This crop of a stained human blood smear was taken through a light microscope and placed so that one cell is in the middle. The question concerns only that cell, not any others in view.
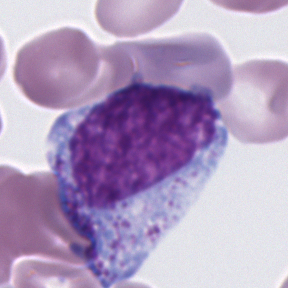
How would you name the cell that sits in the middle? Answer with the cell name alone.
myelocyte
